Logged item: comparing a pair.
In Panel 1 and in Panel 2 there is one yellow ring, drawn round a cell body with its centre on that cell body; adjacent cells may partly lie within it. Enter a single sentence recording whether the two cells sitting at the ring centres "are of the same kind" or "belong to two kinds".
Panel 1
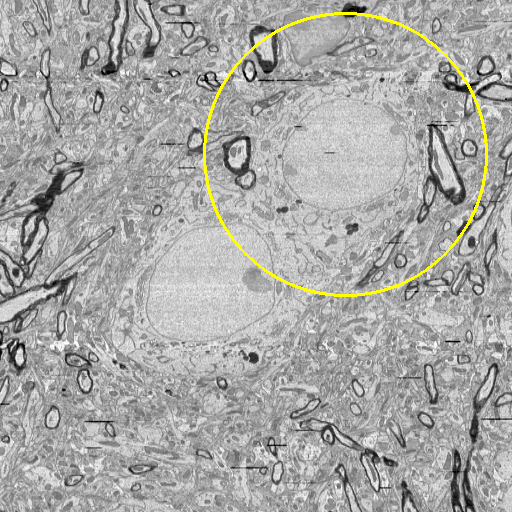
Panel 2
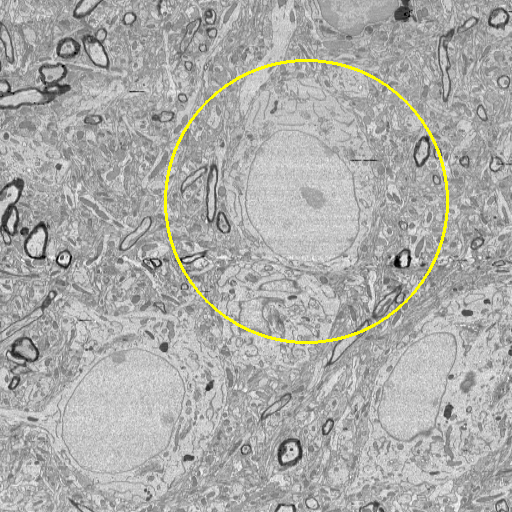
Logged: the cells centred in the rings of Panel 1 and Panel 2 are of the same kind.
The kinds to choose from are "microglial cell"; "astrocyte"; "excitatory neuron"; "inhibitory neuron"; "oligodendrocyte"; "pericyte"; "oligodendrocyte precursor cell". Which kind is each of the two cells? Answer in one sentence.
Each of the two rings surrounds an excitatory neuron.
